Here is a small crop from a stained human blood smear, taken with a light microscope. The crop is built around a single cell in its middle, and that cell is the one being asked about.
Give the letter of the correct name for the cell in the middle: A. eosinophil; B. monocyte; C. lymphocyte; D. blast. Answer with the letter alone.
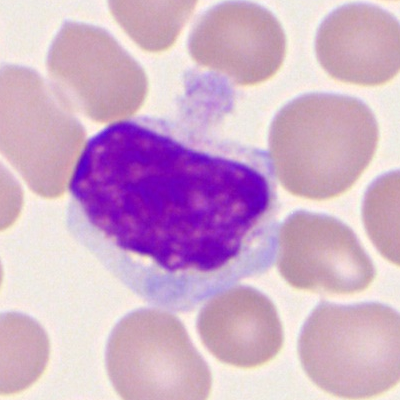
B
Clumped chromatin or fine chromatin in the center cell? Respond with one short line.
Answer: the chromatin in this nucleus is coarsely clumped.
